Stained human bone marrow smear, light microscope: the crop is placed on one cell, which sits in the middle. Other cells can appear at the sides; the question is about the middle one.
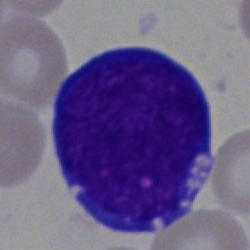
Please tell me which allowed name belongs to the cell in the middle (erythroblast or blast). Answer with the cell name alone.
blast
